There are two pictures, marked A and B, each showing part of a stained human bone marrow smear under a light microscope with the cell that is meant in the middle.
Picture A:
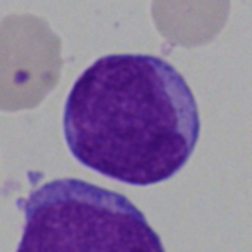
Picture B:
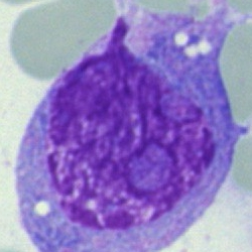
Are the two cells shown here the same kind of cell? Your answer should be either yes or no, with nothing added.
yes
